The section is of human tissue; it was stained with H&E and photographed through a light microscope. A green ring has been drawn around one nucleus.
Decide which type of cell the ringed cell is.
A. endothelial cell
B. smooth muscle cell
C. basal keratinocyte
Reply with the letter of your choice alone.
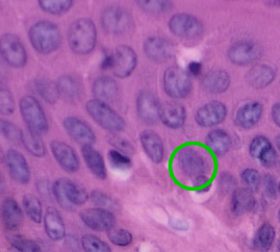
C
